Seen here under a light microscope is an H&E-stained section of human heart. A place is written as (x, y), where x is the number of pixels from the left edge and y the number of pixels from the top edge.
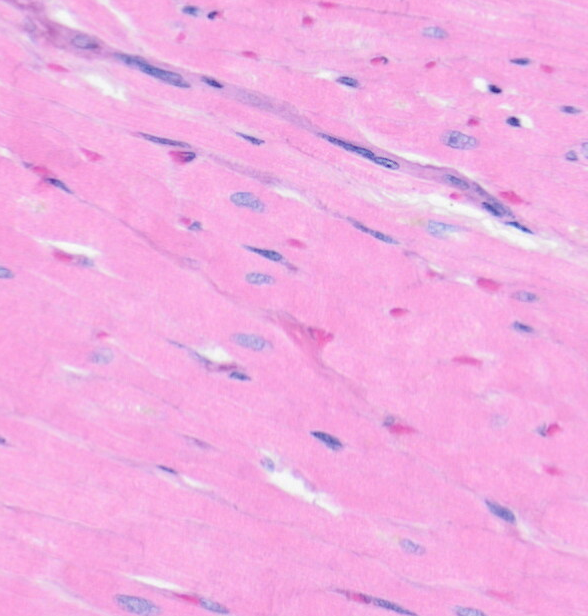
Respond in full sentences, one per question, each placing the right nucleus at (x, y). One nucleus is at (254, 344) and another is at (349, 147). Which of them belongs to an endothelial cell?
The pair contains one nucleus of an endothelial cell, namely the one at (349, 147).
